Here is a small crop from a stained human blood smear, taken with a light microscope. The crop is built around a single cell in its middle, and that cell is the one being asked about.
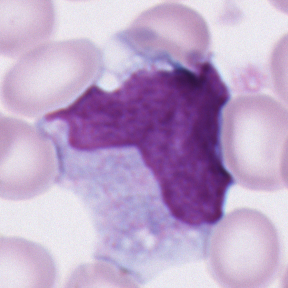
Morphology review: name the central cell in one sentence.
The cell at the middle of the crop is recognized as a monocyte.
